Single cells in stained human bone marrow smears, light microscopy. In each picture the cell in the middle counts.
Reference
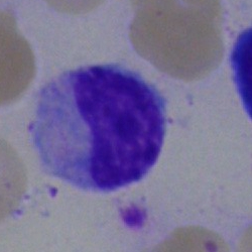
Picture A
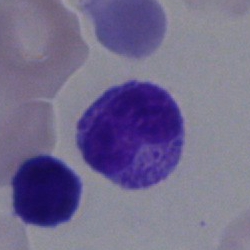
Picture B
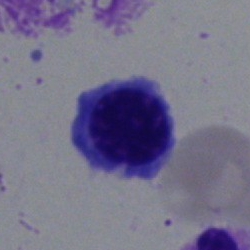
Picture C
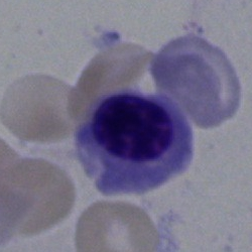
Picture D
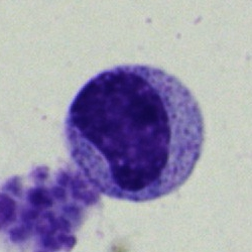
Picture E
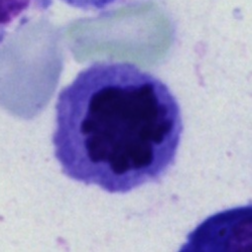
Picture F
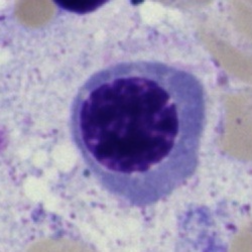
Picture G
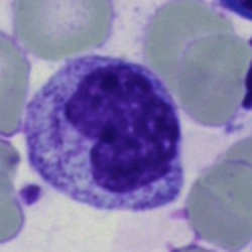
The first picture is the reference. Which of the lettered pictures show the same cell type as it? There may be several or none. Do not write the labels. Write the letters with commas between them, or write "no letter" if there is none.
A, D, G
